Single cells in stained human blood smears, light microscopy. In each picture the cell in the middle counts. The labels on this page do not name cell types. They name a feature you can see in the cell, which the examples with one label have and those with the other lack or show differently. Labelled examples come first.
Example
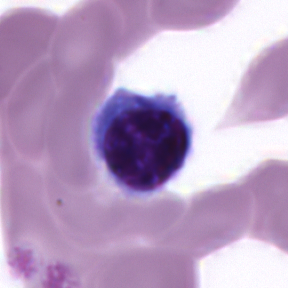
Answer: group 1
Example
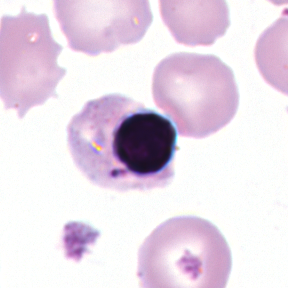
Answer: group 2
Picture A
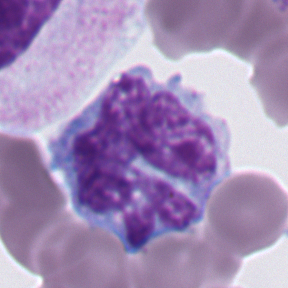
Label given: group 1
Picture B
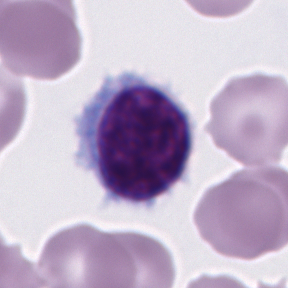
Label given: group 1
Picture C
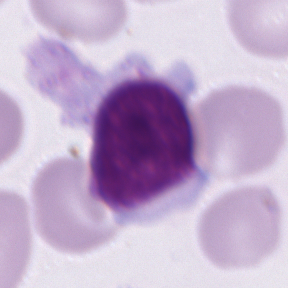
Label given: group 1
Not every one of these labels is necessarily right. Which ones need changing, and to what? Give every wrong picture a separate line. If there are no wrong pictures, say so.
None of the labels needs changing.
